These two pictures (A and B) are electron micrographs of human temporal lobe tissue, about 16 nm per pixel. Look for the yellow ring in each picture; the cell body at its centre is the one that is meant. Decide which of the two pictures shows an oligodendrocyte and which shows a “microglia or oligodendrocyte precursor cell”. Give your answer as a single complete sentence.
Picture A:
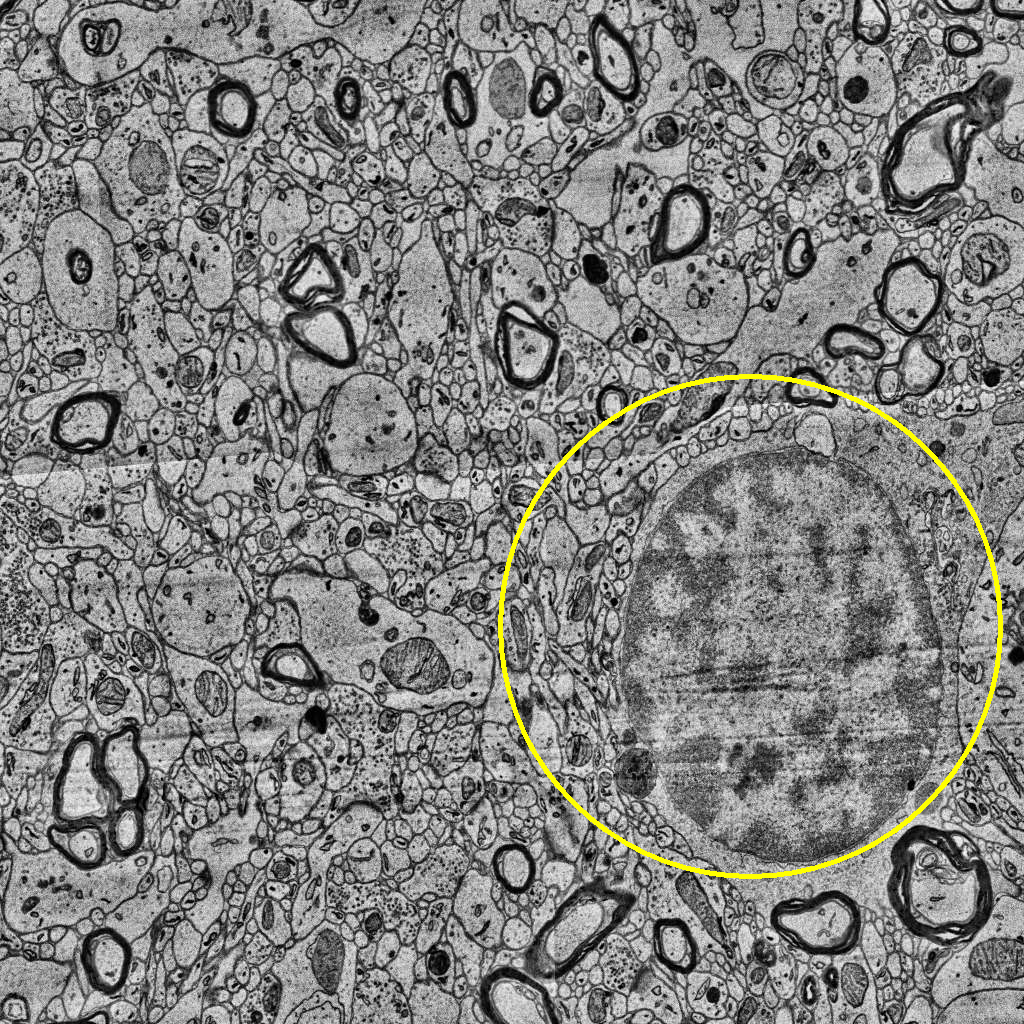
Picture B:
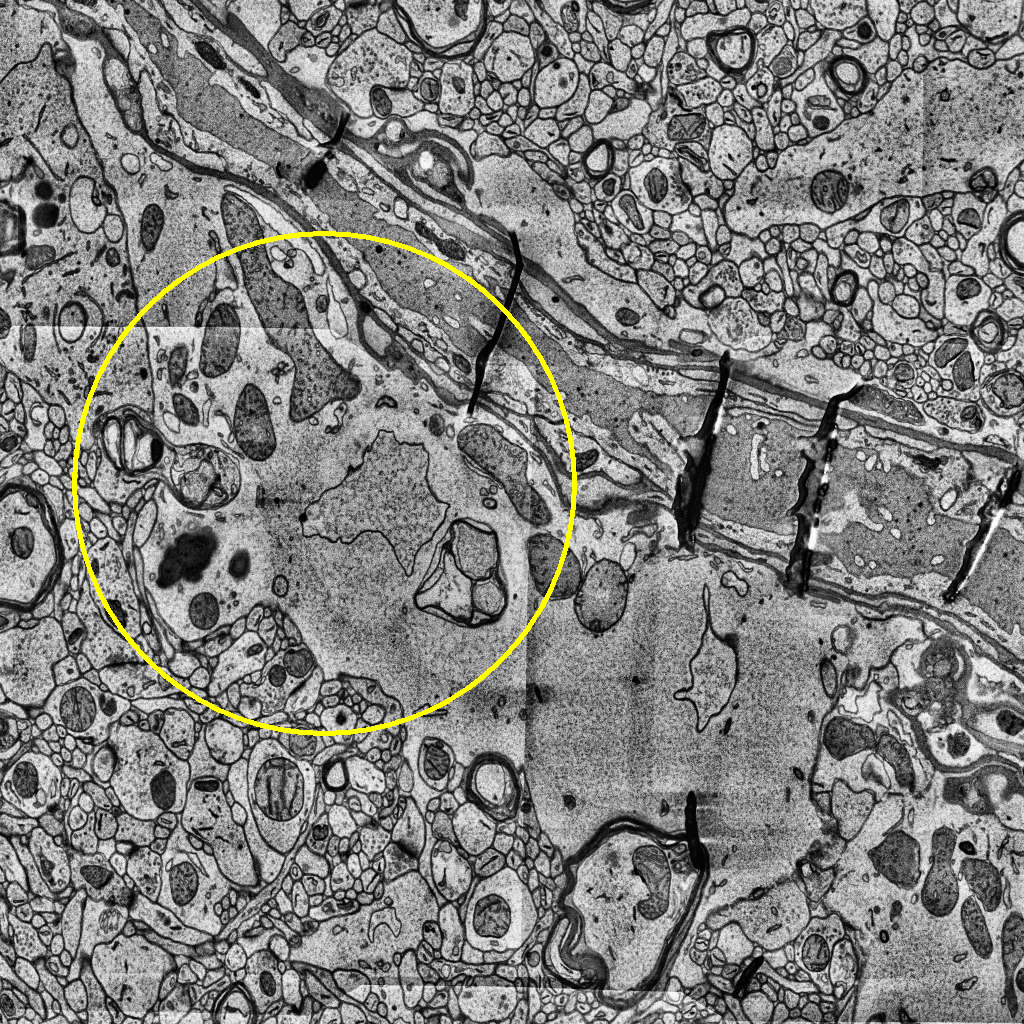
In picture A the cell is an oligodendrocyte; in picture B, a “microglia or oligodendrocyte precursor cell”.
